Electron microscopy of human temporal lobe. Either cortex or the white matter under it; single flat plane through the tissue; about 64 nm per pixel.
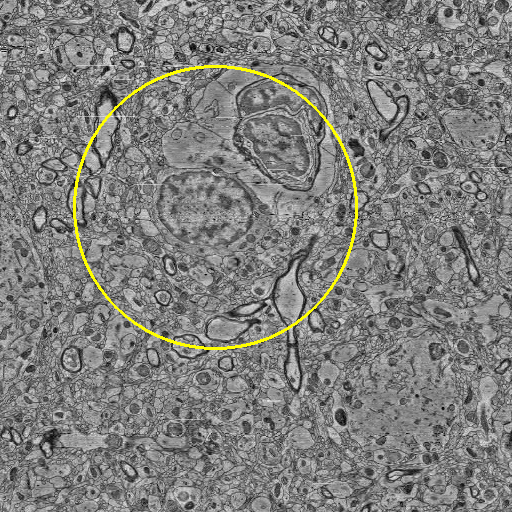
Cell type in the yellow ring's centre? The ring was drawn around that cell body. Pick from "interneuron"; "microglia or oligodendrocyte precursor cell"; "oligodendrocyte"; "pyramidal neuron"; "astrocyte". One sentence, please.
The ringed cell body is that of an oligodendrocyte.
